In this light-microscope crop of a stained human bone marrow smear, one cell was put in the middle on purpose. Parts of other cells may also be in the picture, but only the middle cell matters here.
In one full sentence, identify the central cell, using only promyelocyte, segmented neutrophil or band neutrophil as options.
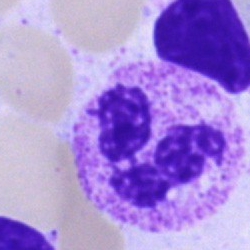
The crop's centre is taken up by a segmented neutrophil.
